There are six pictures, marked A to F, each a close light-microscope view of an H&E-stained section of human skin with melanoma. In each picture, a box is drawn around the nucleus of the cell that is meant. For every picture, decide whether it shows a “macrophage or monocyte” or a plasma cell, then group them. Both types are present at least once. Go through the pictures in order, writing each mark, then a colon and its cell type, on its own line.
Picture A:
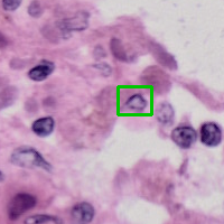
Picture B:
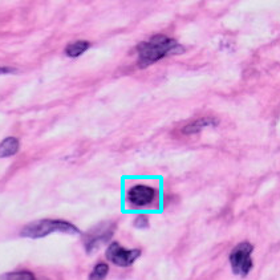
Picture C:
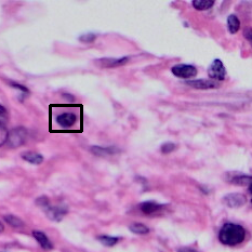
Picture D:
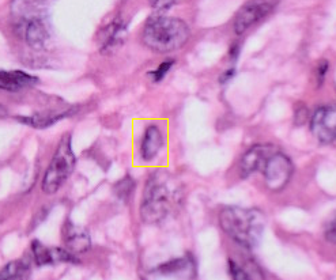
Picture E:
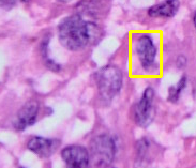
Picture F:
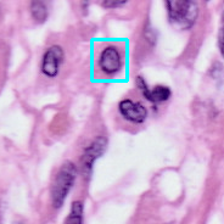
A: macrophage or monocyte
B: plasma cell
C: plasma cell
D: macrophage or monocyte
E: macrophage or monocyte
F: macrophage or monocyte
